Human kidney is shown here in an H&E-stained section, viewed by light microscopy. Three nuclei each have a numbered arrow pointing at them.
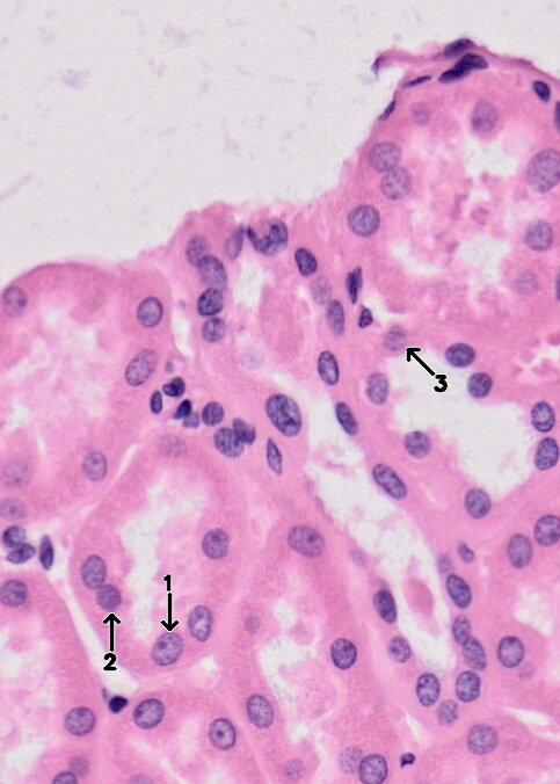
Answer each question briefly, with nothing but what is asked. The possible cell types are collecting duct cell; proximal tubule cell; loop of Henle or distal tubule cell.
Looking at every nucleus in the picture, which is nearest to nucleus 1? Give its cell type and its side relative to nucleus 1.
a proximal tubule cell; above and to the right of nucleus 1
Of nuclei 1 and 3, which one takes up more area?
1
